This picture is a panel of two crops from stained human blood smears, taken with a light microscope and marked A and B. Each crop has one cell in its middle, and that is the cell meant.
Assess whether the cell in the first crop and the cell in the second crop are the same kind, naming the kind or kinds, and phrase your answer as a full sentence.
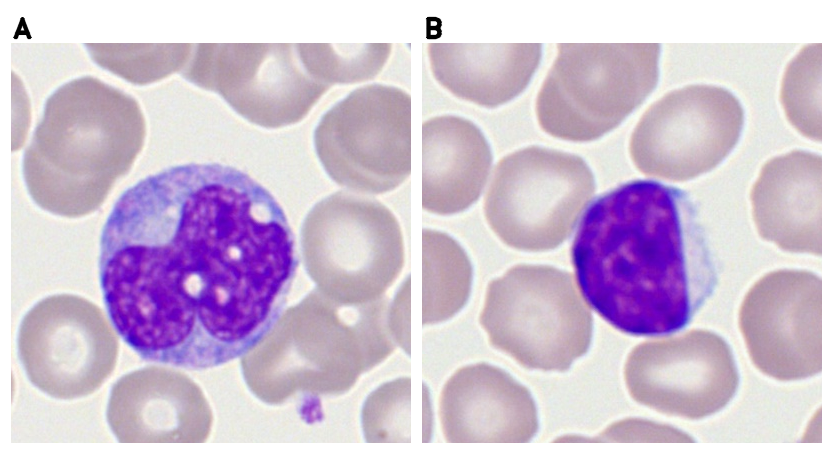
No, crop A is home to a monocyte, and crop B to a lymphocyte.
